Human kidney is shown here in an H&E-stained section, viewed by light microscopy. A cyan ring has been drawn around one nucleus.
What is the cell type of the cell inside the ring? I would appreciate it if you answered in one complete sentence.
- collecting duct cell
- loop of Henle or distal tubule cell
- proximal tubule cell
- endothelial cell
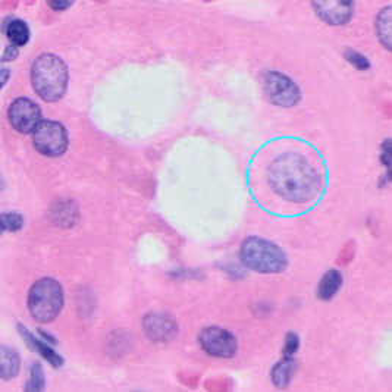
It is as a proximal tubule cell that the cell inside the ring is classified.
